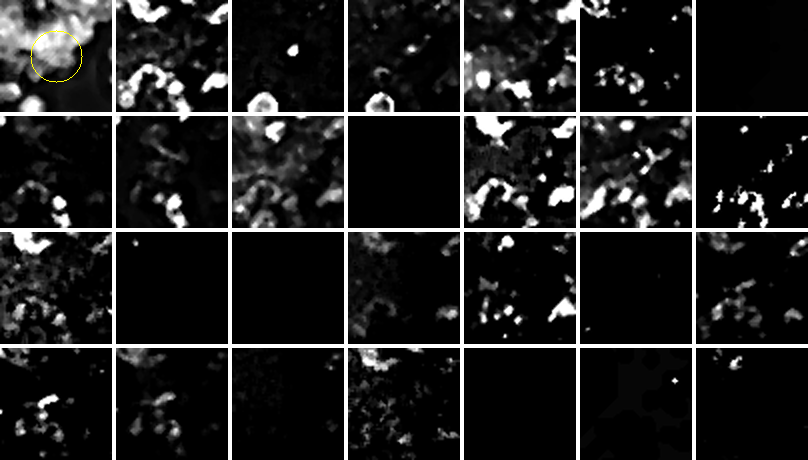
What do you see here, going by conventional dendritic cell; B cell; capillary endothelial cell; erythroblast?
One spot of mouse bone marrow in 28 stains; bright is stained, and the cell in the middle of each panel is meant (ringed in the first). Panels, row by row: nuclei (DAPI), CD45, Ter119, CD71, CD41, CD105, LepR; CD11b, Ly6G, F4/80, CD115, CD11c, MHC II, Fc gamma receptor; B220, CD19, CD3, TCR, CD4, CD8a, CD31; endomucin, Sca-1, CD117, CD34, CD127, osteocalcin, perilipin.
I see a capillary endothelial cell.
